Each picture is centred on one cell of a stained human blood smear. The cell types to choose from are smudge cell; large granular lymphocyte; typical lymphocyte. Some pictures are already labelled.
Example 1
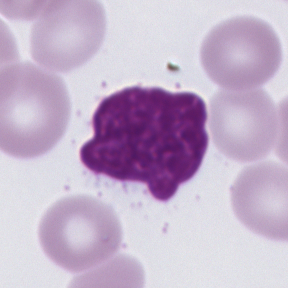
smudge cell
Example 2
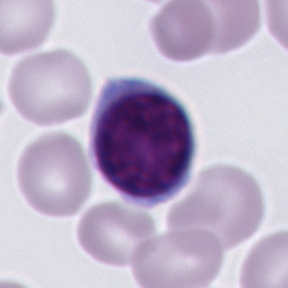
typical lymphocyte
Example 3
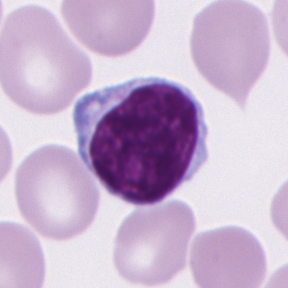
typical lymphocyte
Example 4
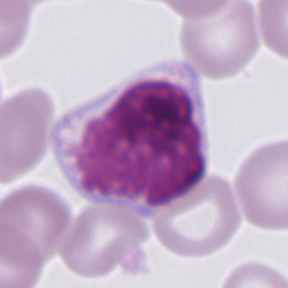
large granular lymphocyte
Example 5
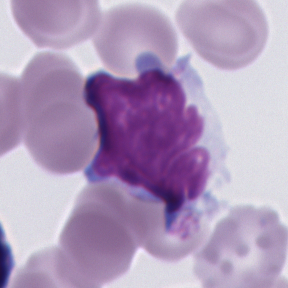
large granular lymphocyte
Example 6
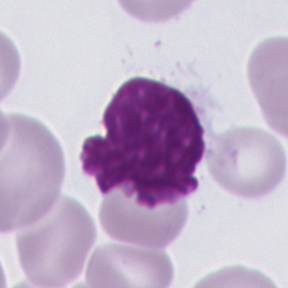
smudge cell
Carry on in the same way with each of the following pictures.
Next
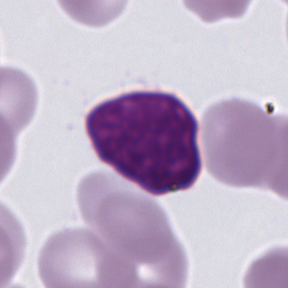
smudge cell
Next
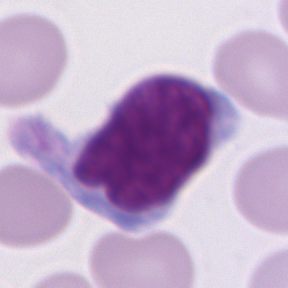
typical lymphocyte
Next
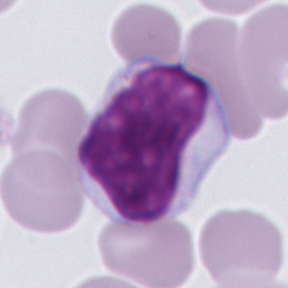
large granular lymphocyte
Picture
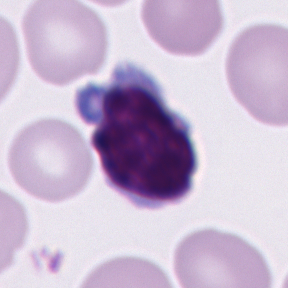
typical lymphocyte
